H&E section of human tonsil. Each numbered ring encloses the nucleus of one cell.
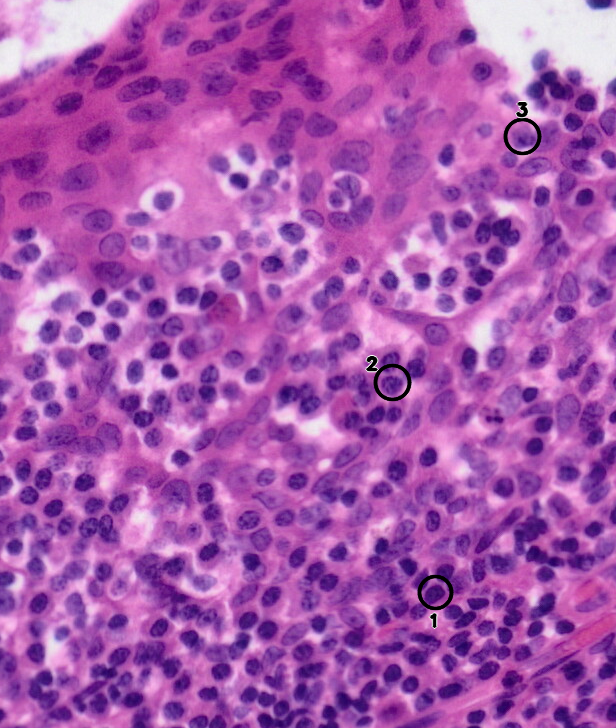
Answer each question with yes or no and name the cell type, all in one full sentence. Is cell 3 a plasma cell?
No, cell 3 represents a squamous epithelial cell rather than a plasma cell.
